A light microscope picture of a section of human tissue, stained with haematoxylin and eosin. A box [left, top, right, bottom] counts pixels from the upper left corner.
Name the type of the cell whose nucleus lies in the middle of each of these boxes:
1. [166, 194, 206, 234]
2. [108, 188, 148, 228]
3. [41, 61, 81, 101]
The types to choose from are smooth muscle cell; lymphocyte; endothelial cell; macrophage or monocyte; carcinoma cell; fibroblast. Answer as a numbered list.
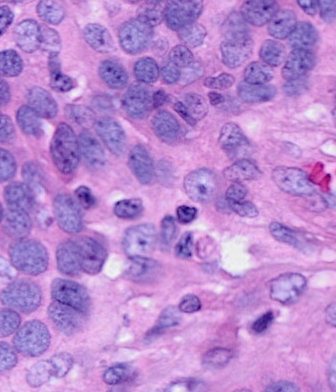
1. lymphocyte
2. macrophage or monocyte
3. macrophage or monocyte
